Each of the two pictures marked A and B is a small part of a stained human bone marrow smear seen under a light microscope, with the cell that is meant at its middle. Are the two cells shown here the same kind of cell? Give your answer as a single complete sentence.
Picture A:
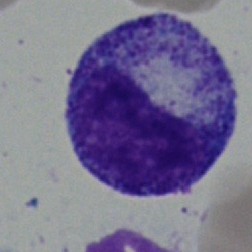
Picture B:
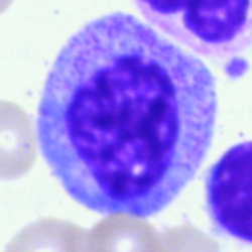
No, the types are not the same, since picture A shows a myelocyte and picture B a promyelocyte.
